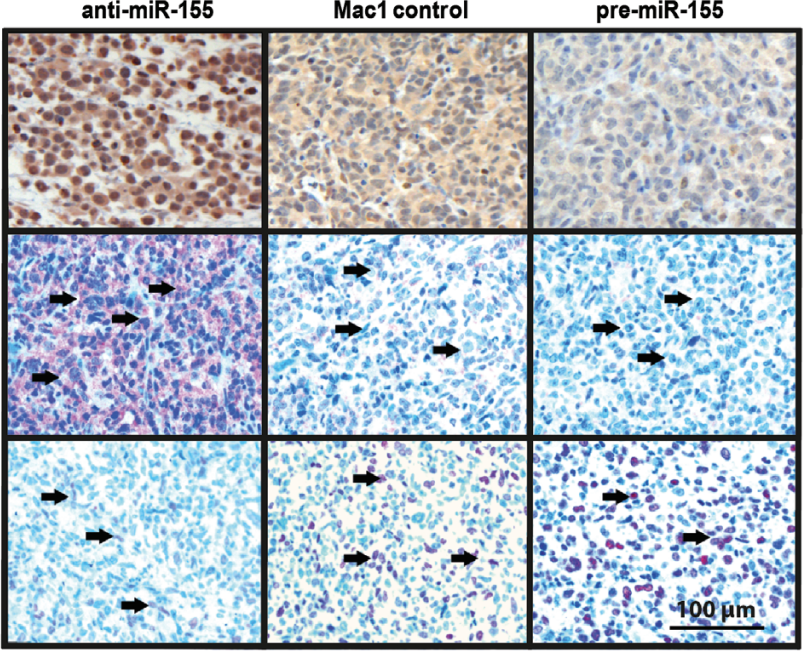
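This is a grid of nine fields of a tumour, each filled with dense, diffuse sheets of tumour cells and no recognisable normal tissue architecture. The tumour cells are closely packed, round to oval, with large nuclei and little cytoplasm. In the top row the stain is brown: in the left field most nuclei are strongly brown, in the middle field the staining is paler and more diffuse, and in the right field most nuclei are blue with little brown. The middle and bottom rows use a red to purple stain on a blue counterstain, with black arrows pointing to individual tumour cells. The red staining is widespread in the left field of the middle row, whereas in the bottom row the purple-stained nuclei are most frequent in the right field.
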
